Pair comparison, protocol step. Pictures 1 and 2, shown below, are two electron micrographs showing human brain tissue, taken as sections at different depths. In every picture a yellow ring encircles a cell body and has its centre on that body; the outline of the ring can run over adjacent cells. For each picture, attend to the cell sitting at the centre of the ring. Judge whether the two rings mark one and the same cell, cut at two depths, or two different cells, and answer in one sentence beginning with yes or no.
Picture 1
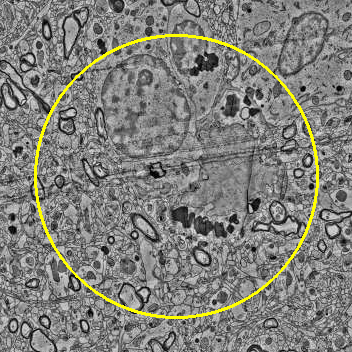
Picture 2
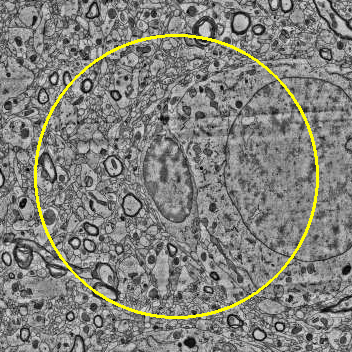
No, the two yellow rings correspond to two separate cells.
